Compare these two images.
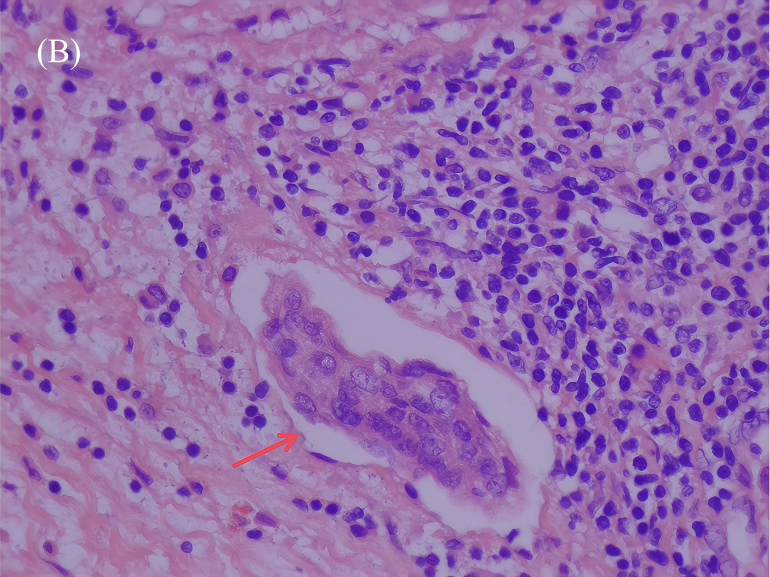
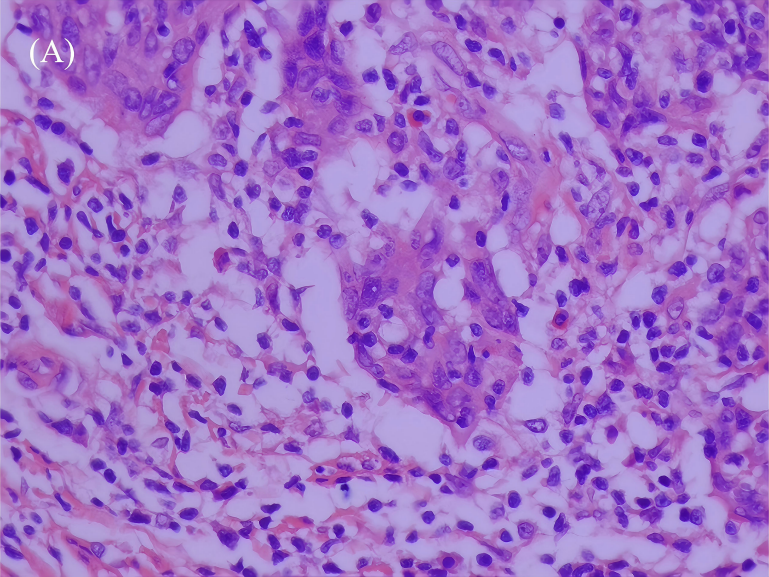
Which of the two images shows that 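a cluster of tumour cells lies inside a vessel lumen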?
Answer: the first image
